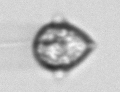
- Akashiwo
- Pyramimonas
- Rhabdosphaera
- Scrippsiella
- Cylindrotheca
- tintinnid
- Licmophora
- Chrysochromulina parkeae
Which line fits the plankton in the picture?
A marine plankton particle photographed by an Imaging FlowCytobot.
Scrippsiella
